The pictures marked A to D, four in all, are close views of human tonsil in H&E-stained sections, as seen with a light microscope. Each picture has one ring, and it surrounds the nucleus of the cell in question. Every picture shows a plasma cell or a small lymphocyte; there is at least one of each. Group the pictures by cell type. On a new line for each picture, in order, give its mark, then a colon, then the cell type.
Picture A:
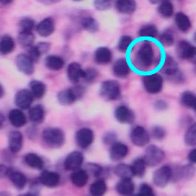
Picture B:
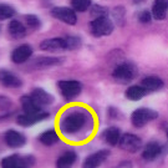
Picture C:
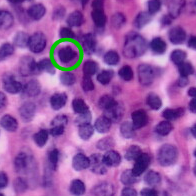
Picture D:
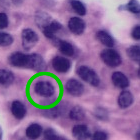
A: small lymphocyte
B: plasma cell
C: plasma cell
D: plasma cell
